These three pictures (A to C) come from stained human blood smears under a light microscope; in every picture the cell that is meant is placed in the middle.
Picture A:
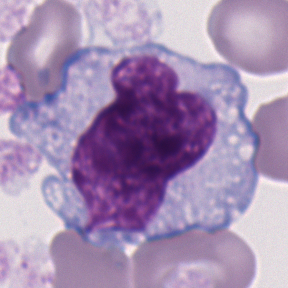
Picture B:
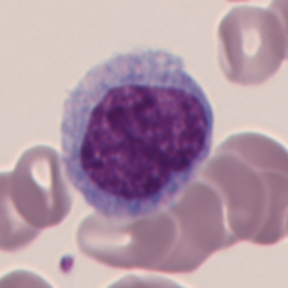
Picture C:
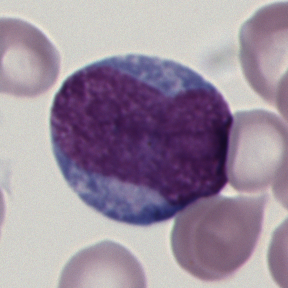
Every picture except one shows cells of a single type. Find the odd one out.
C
